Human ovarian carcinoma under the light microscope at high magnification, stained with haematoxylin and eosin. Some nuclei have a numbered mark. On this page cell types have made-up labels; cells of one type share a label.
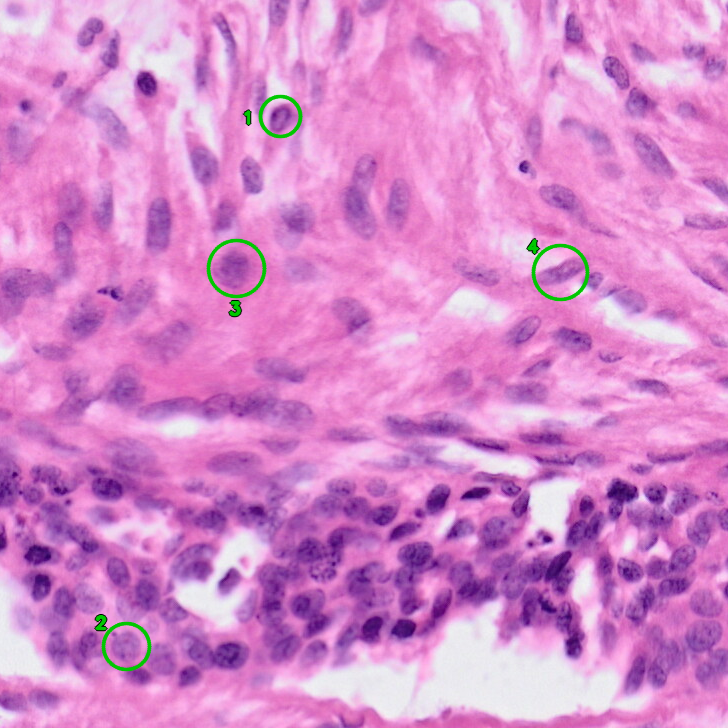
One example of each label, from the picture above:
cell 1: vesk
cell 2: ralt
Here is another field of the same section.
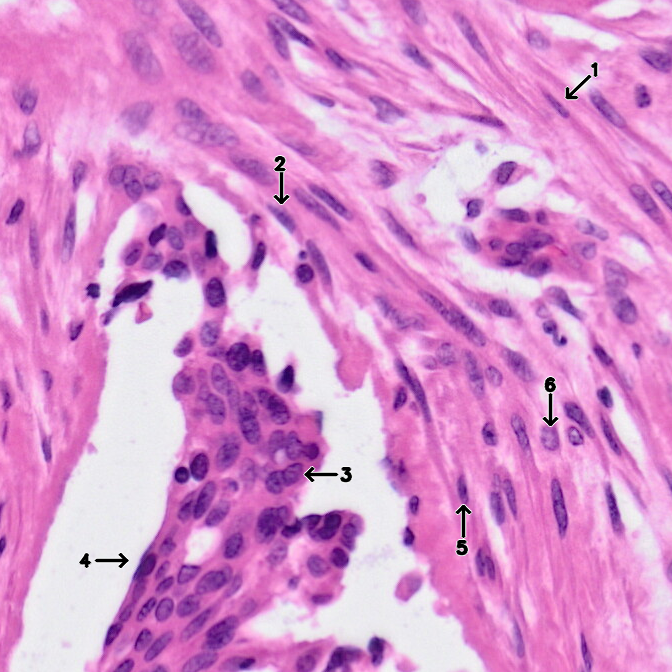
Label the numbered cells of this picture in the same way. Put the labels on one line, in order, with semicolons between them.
vesk; vesk; ralt; ralt; vesk; vesk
